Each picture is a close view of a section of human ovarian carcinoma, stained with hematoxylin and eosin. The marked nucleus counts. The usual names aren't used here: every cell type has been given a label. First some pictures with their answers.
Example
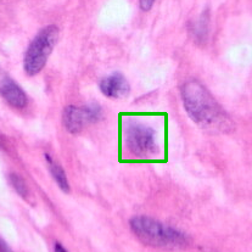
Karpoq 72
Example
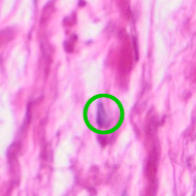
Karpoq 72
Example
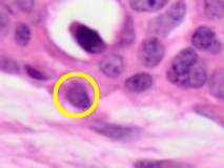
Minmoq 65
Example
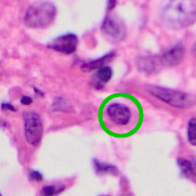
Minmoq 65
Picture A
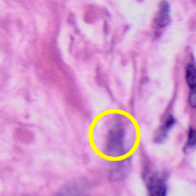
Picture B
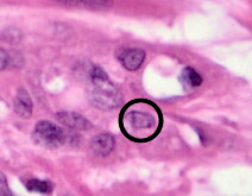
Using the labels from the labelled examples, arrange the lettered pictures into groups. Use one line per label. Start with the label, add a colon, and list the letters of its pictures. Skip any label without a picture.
Karpoq 72: A
Minmoq 65: B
